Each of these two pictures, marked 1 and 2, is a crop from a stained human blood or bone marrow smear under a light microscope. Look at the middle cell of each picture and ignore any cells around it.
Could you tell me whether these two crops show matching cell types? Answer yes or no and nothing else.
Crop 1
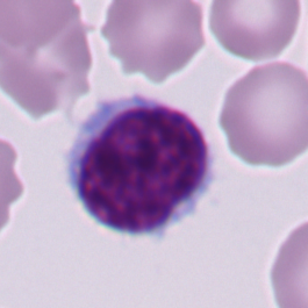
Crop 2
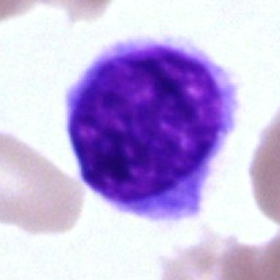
yes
